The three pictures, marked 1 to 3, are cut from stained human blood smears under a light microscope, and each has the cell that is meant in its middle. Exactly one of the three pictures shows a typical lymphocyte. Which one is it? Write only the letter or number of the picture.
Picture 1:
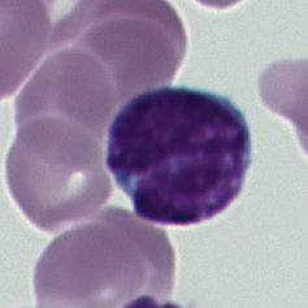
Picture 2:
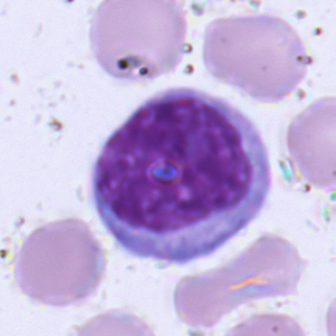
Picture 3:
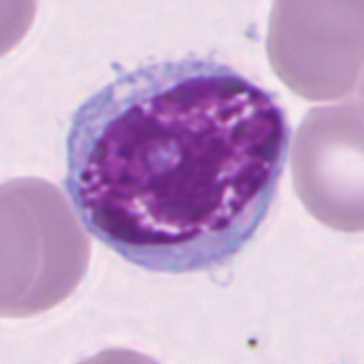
1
